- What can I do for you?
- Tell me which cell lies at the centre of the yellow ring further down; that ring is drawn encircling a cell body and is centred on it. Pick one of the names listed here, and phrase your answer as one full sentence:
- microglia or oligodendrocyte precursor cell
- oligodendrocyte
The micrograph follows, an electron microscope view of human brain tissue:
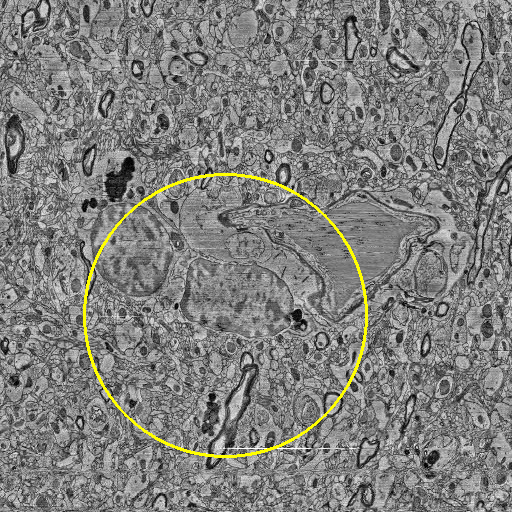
The cell whose body lies at the centre of the yellow ring is a microglial cell or oligodendrocyte precursor cell.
